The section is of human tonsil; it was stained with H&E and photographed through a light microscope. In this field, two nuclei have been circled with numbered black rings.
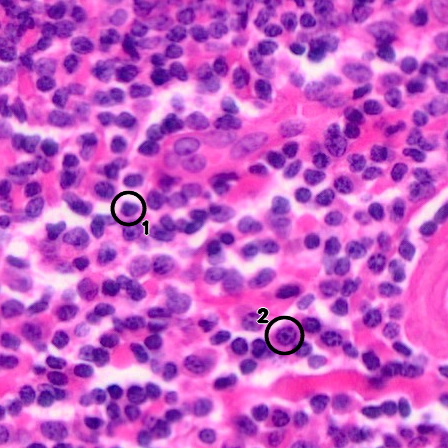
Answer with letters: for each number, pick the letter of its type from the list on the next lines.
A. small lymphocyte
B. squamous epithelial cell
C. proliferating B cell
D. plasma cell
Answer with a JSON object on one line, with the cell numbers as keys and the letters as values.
{"1": "A", "2": "D"}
